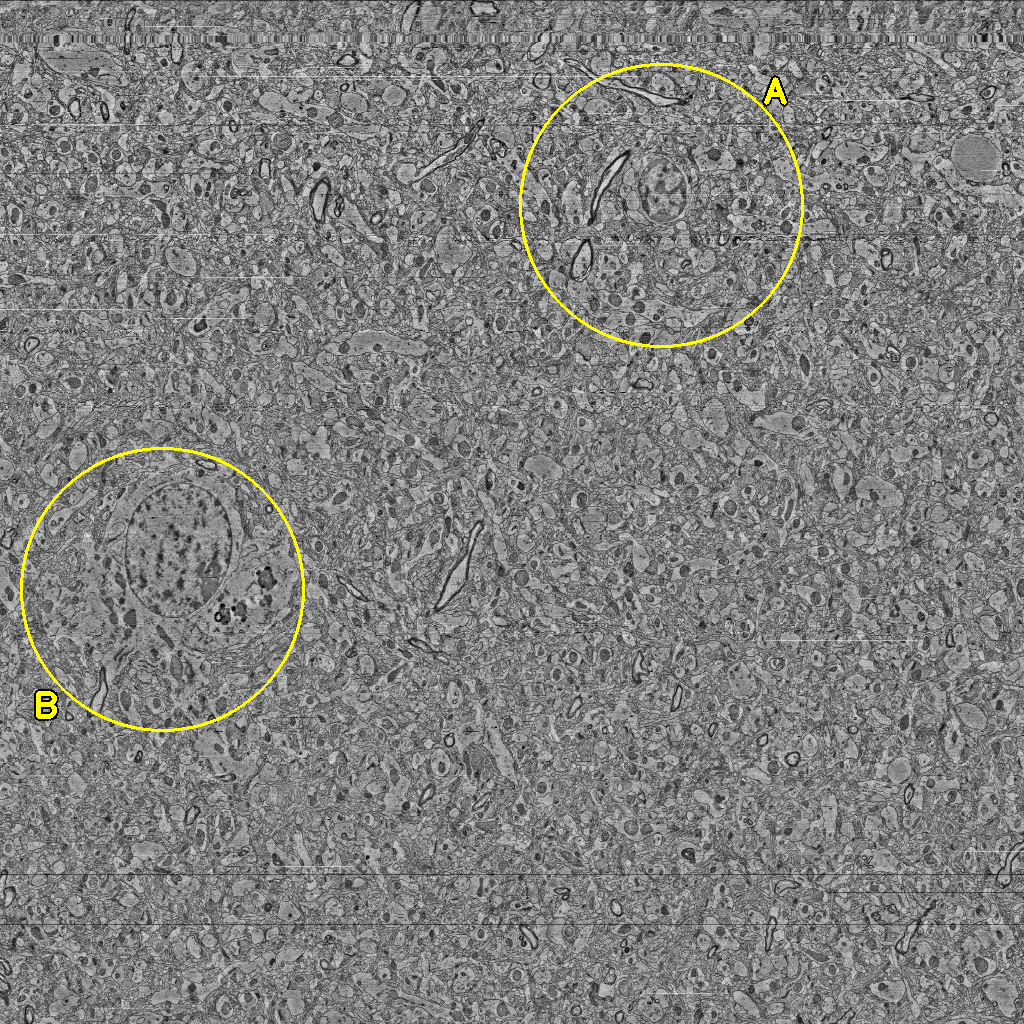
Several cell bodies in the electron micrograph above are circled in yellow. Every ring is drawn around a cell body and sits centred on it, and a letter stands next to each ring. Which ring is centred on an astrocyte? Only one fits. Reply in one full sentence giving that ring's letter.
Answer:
The ring centred on the cell asked for is Ring B.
